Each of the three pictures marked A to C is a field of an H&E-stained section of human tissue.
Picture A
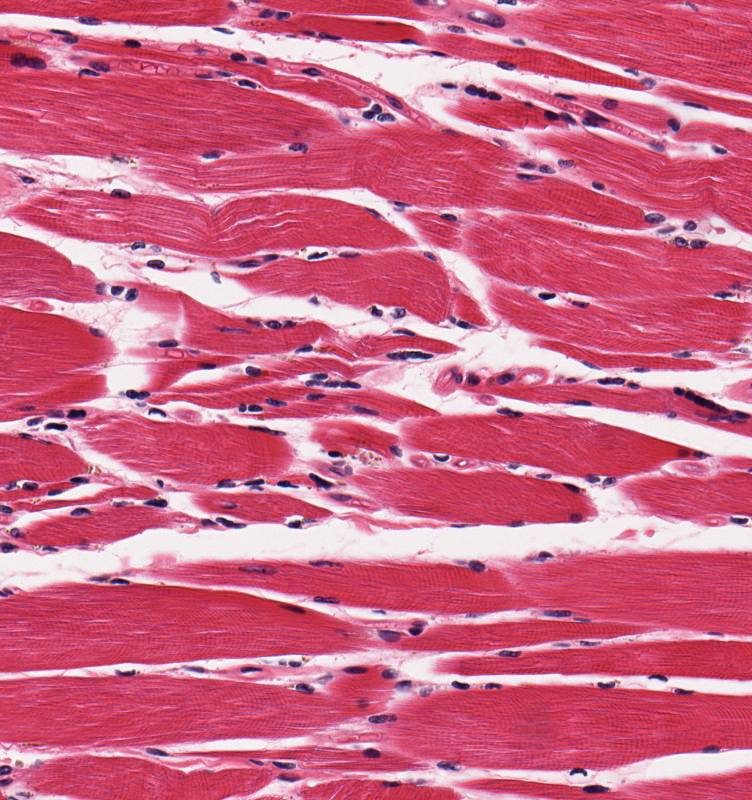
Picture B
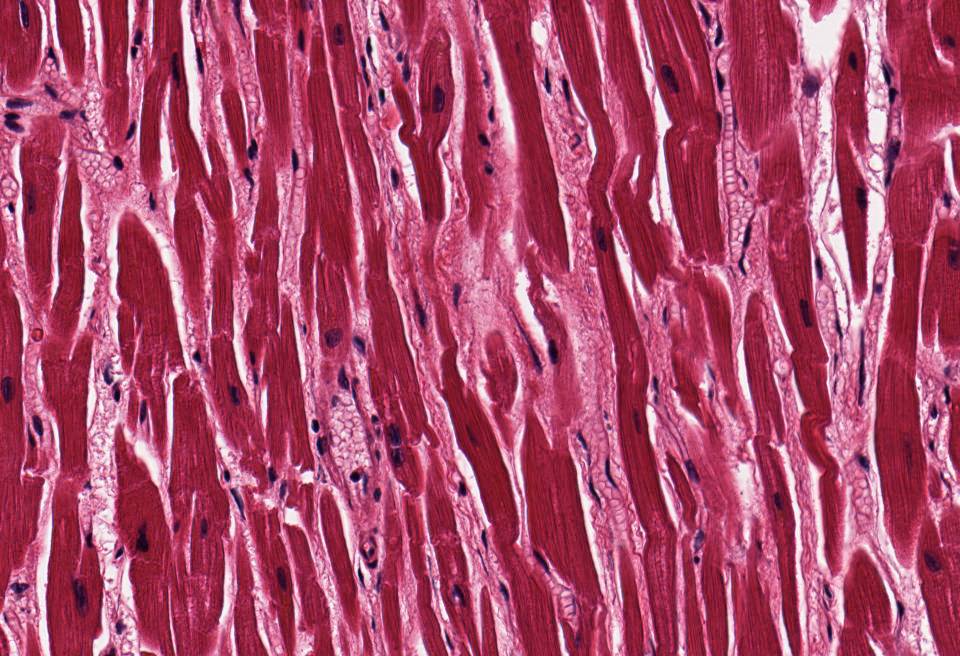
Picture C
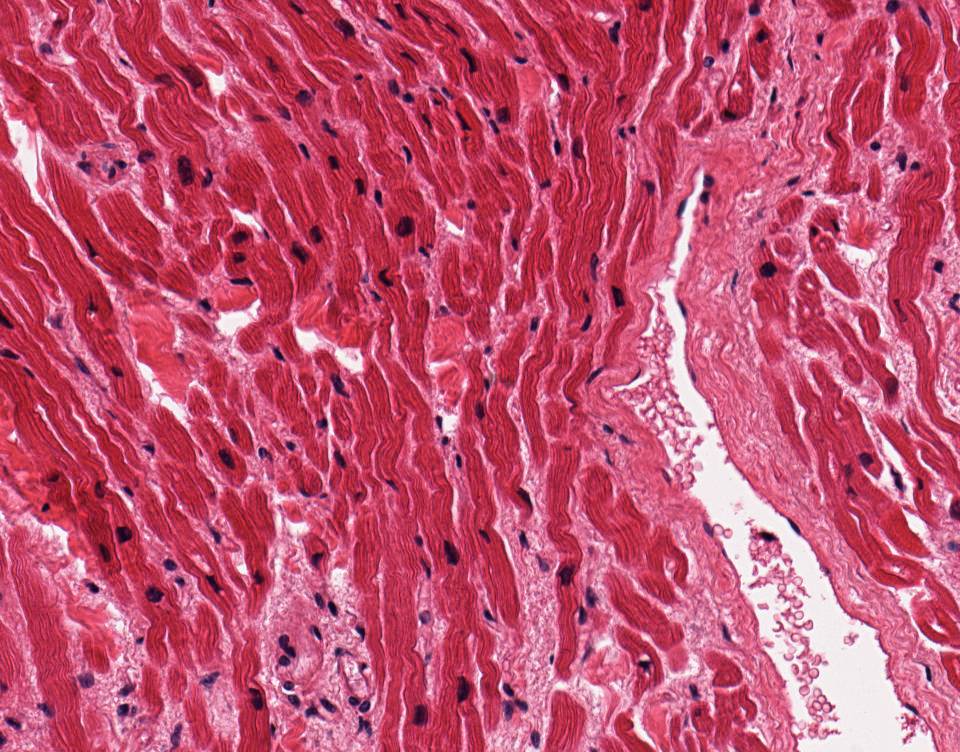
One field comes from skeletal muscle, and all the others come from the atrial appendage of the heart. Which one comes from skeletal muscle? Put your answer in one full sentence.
It is picture A that comes from skeletal muscle.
